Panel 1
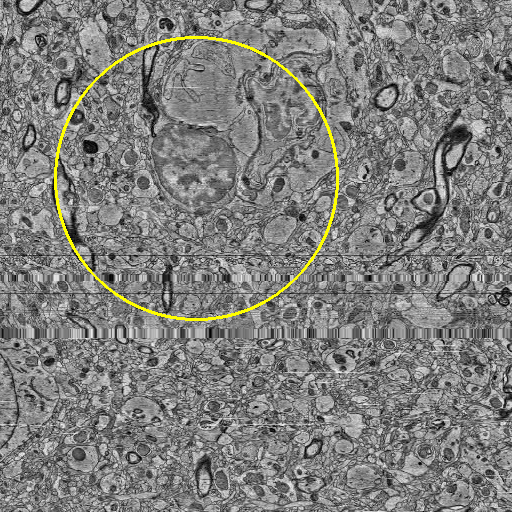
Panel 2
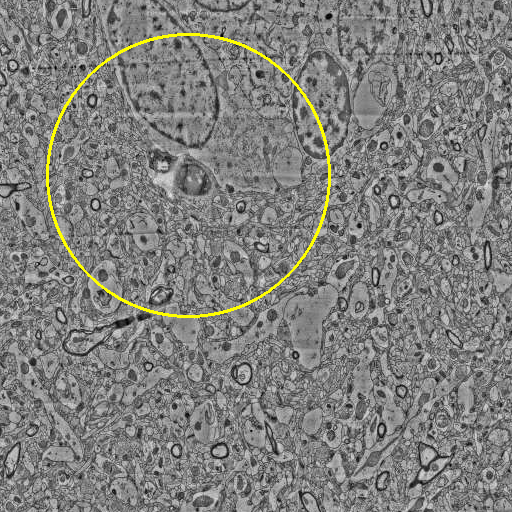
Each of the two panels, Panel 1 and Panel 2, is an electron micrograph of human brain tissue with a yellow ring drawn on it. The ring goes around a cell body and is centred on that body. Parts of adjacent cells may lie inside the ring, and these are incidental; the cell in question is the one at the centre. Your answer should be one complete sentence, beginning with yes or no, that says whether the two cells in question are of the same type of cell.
Yes, the two cells are of the same type.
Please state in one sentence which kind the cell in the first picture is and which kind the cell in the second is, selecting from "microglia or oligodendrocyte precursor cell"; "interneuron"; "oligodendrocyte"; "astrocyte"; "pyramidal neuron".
In each picture the ringed cell is an oligodendrocyte.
